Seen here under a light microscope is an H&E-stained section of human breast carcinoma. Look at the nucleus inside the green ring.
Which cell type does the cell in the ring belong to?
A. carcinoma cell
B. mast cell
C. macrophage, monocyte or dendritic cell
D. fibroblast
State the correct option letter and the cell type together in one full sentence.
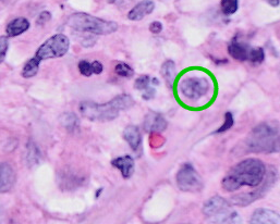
Option C is accurate, for the cell in the ring is a macrophage, monocyte or dendritic cell.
